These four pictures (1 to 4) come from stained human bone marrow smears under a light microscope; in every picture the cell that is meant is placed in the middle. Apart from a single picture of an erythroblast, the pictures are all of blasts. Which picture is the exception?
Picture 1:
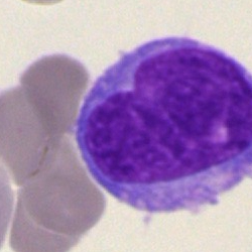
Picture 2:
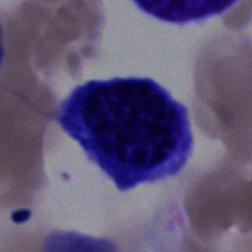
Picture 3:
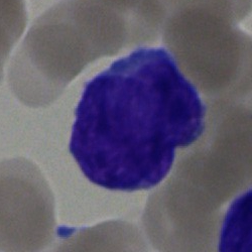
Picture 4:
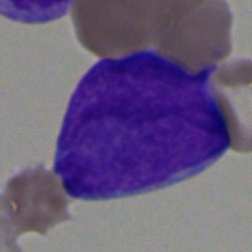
2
